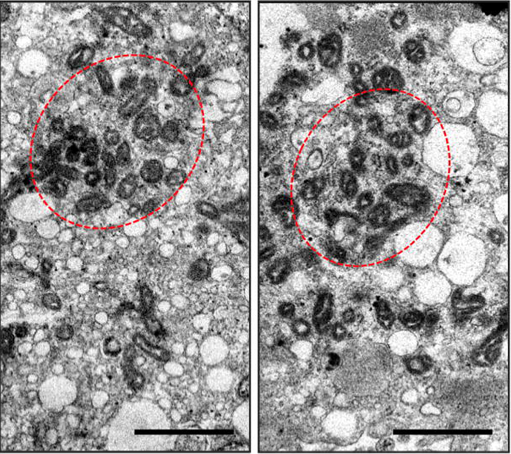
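The mitochondria are small, electron-dense, round to elongated profiles, some with visible internal cristae, packed close together. Around them the cytoplasm holds many pale, round, empty-looking vesicles of varying size and a finely granular background. The two images look broadly alike in the shape and density of the mitochondria.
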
